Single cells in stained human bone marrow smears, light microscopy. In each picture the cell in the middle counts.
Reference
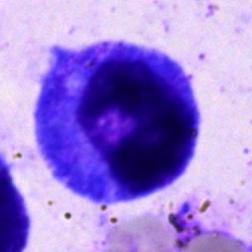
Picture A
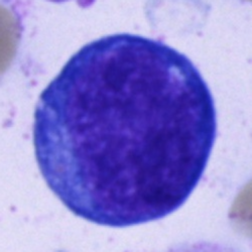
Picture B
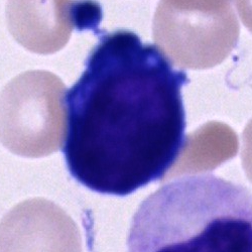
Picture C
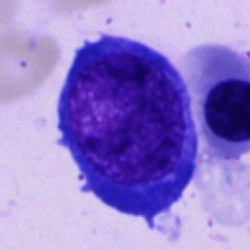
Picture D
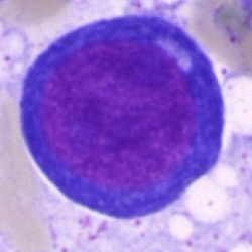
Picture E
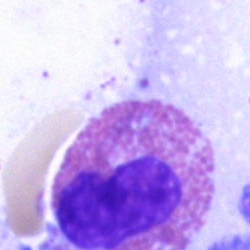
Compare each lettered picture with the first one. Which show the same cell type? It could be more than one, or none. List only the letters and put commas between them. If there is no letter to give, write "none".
none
